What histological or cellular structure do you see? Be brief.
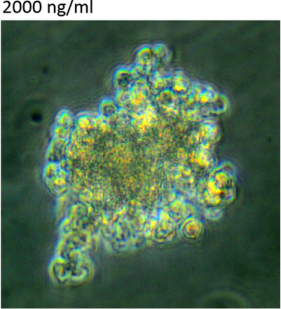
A: Colonies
